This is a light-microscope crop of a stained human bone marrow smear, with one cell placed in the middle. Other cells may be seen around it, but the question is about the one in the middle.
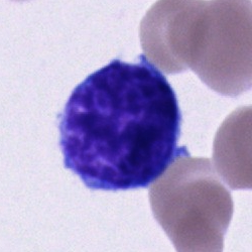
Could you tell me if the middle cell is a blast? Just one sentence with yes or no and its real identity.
Yes, the cell in the middle of this smear crop is a blast.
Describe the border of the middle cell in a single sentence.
The edge of the cell is broken up by ragged stretches or by outward projections.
